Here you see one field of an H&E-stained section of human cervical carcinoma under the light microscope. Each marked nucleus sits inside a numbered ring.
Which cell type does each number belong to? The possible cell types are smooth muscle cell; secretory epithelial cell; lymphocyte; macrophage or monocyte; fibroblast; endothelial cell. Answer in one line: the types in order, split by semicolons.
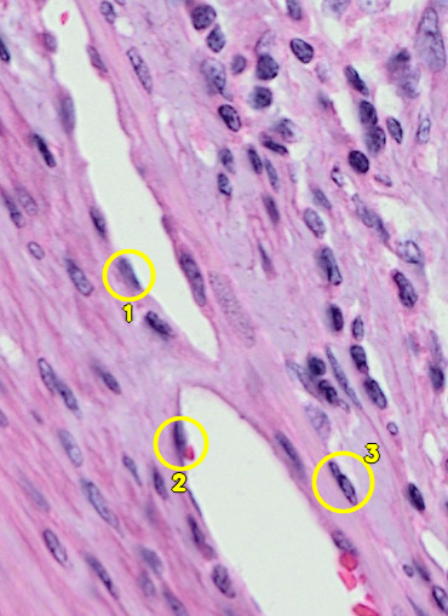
endothelial cell; endothelial cell; lymphocyte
